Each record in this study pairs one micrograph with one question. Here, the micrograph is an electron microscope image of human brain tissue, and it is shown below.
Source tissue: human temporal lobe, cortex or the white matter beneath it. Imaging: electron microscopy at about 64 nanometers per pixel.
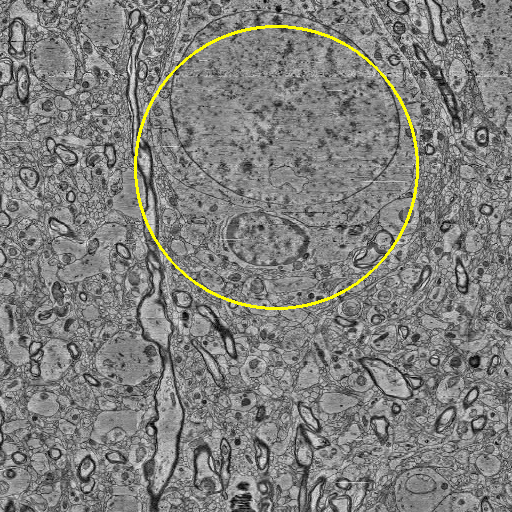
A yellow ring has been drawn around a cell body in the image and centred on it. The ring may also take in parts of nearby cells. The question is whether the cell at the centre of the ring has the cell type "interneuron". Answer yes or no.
no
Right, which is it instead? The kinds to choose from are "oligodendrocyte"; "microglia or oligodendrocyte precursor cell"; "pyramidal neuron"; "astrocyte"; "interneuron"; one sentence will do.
The cell at the middle of the ring is a pyramidal neuron.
